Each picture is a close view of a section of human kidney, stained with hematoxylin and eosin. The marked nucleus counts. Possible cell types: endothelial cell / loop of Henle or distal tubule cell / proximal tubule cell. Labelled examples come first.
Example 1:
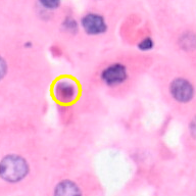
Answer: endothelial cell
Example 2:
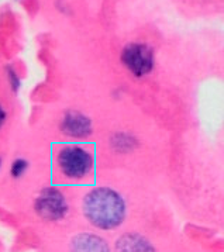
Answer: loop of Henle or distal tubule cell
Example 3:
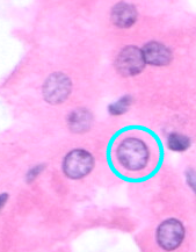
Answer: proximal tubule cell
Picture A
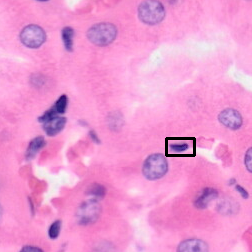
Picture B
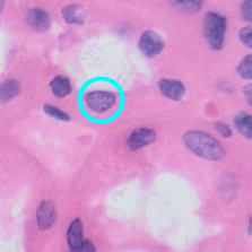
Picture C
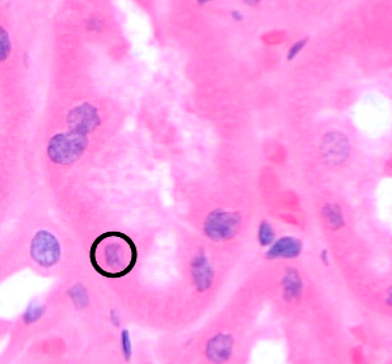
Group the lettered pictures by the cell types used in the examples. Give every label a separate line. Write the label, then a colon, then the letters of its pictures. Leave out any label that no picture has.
endothelial cell: A
loop of Henle or distal tubule cell: B
proximal tubule cell: C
